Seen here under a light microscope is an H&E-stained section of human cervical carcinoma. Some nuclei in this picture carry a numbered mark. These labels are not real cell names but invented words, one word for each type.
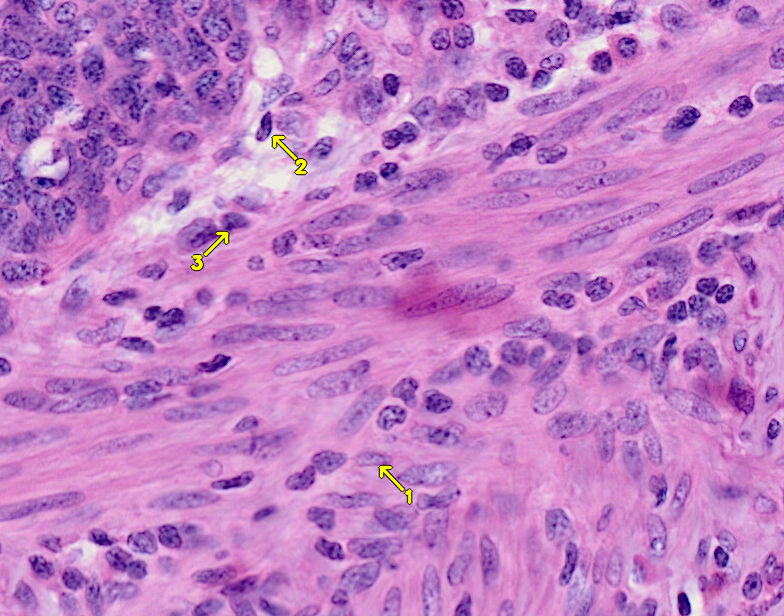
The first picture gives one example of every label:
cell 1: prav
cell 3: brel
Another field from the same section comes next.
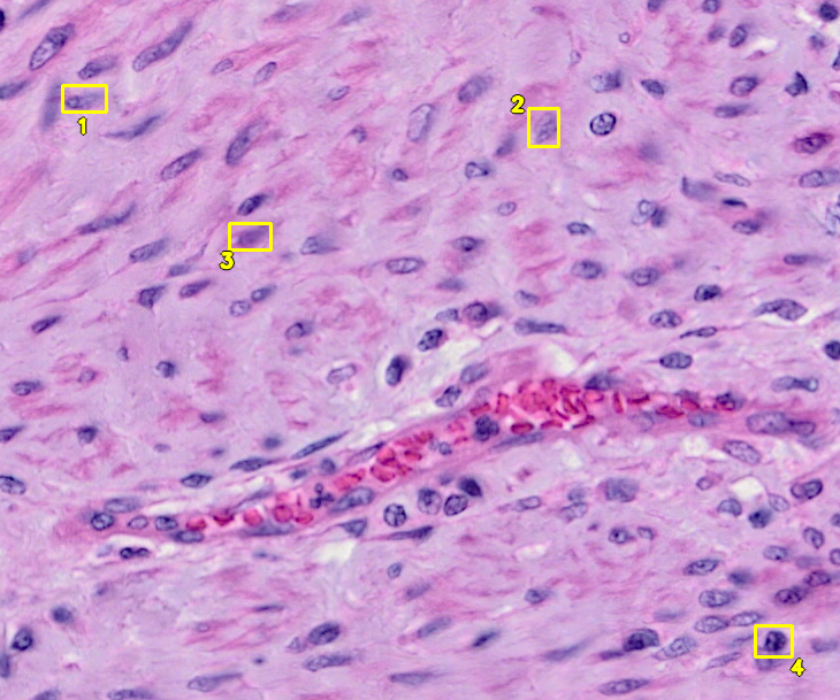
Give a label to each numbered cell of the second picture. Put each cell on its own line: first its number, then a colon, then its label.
1: prav
2: prav
3: prav
4: brel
